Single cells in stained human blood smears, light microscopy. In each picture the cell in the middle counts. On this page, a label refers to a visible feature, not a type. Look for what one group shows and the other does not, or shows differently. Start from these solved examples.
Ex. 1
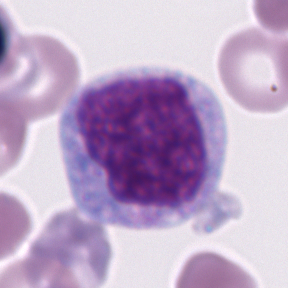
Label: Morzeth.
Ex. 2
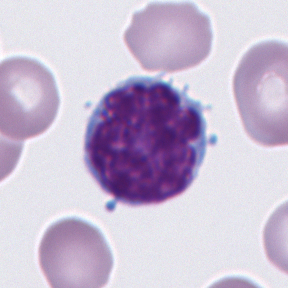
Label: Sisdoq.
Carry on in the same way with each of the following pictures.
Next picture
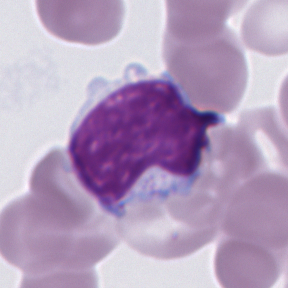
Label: Sisdoq.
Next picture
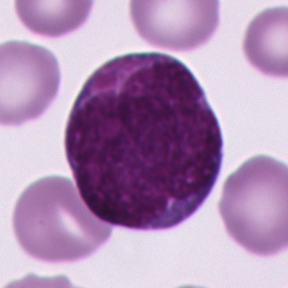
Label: Morzeth.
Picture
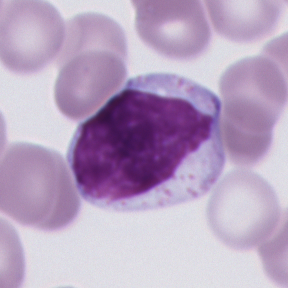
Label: Morzeth.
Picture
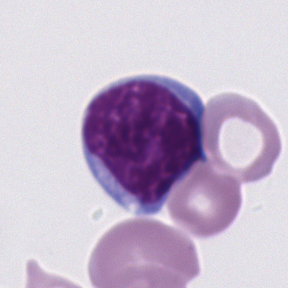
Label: Morzeth.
